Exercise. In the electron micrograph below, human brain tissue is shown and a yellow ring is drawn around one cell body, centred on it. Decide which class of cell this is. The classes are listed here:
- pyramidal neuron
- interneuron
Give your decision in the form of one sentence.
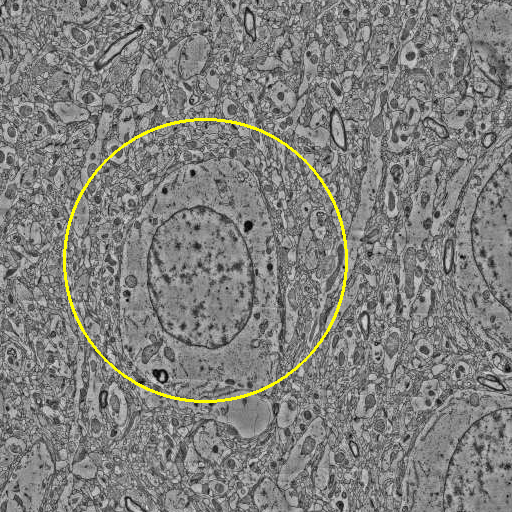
The cell body marked by the ring belongs to a pyramidal neuron.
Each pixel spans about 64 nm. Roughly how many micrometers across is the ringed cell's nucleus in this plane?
About 9 by 7 micrometres in this plane.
